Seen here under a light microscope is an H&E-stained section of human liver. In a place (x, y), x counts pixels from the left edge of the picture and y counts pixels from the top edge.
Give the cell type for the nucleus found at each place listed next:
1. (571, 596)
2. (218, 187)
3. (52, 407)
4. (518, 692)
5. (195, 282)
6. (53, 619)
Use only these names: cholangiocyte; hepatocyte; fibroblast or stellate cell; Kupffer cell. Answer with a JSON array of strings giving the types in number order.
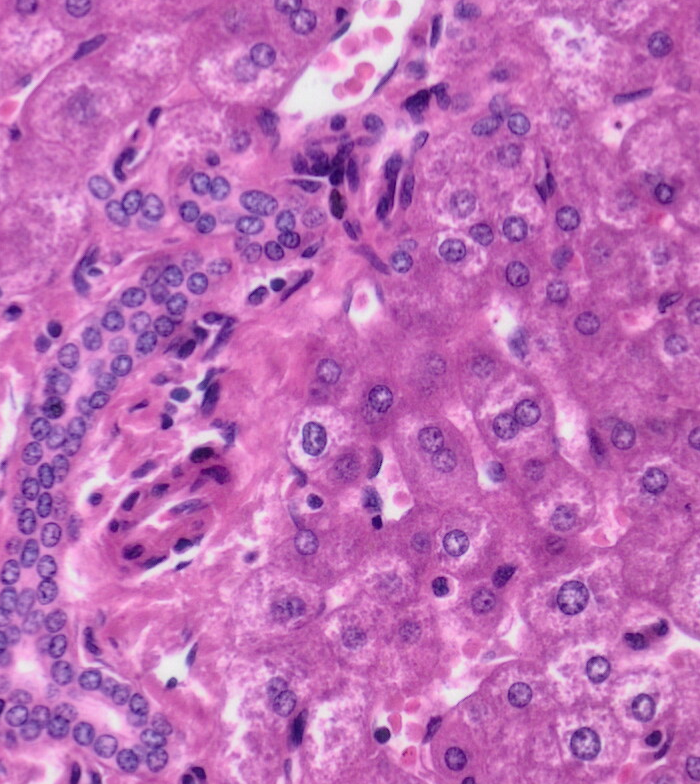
["hepatocyte", "cholangiocyte", "cholangiocyte", "hepatocyte", "cholangiocyte", "cholangiocyte"]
